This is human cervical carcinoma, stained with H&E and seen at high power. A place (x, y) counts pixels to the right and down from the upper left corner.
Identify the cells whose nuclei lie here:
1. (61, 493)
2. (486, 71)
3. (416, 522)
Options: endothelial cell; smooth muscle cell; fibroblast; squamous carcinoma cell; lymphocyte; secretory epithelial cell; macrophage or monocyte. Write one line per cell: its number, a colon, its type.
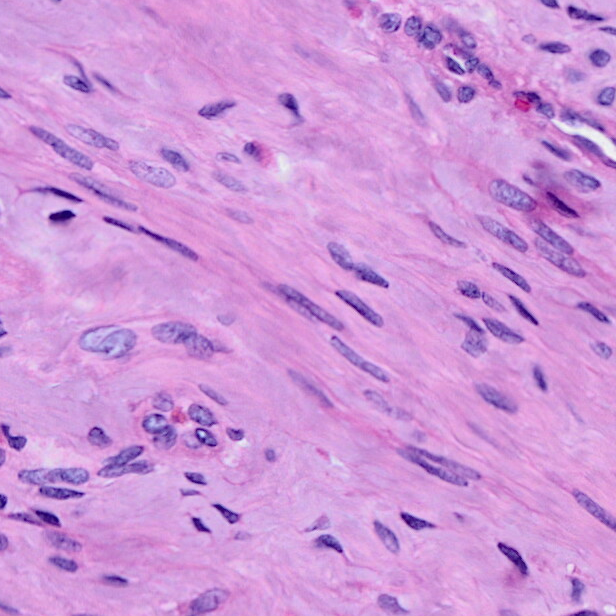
1: fibroblast
2: endothelial cell
3: fibroblast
